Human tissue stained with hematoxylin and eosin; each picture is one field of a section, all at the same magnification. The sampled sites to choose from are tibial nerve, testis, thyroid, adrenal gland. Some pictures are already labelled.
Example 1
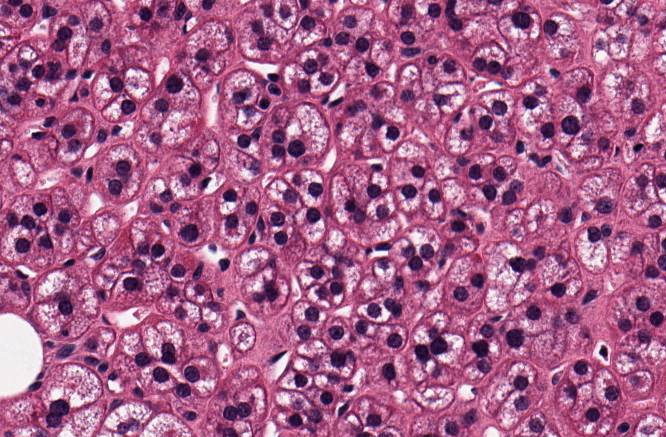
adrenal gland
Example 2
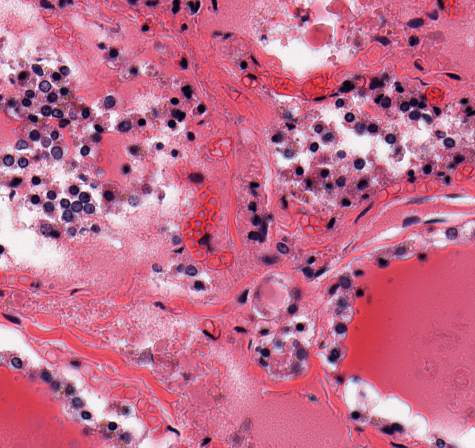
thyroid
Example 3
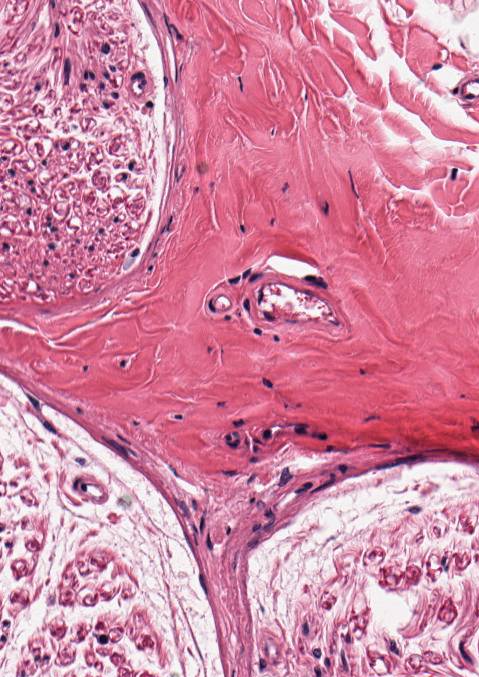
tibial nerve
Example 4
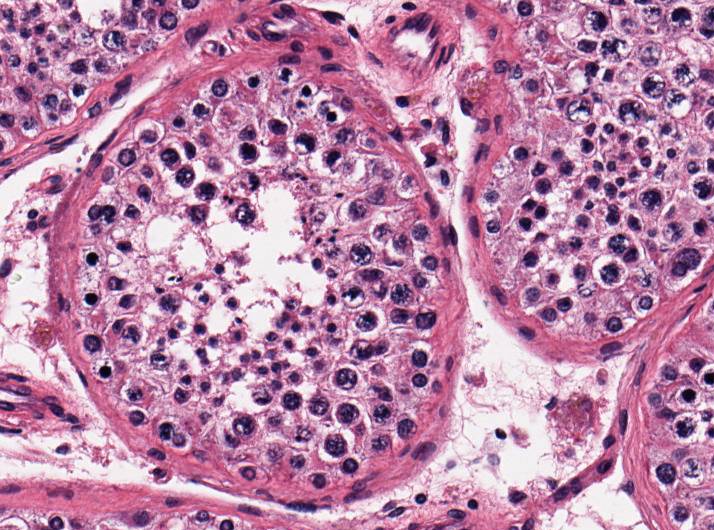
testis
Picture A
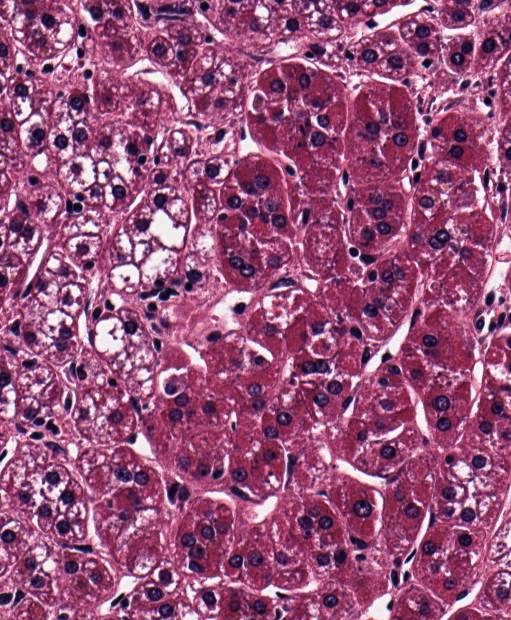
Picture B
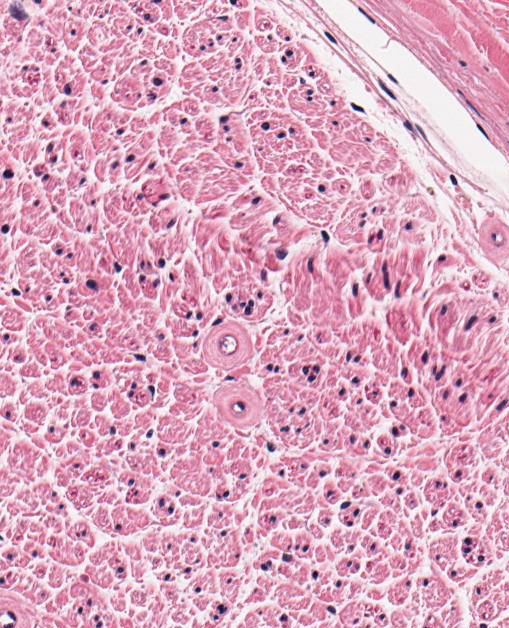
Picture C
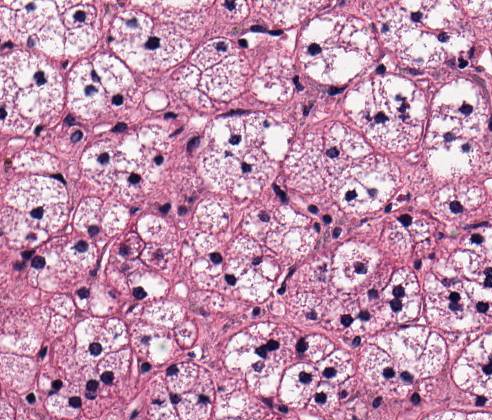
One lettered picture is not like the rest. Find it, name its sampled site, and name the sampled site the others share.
B differs and shows tibial nerve; the others show adrenal gland.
